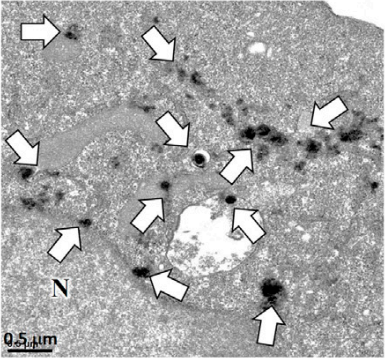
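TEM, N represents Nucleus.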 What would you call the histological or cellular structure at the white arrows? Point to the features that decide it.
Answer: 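Particles. Small, very electron-dense black clumps lie scattered in the cytoplasm. The dense clumps are far darker than any organelle around them. Several clumps line a membrane near the nucleus and a pale vacuole.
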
